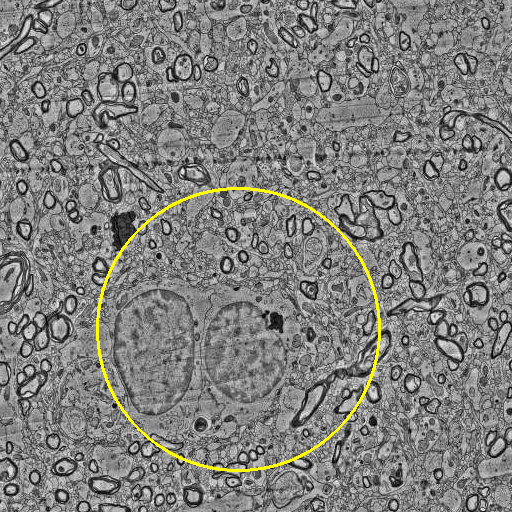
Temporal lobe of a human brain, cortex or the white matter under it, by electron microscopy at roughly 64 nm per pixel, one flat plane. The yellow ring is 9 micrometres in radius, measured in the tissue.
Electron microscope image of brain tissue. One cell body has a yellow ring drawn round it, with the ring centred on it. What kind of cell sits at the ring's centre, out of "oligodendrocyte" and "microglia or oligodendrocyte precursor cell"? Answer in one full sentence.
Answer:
It is an oligodendrocyte whose cell body sits at the centre of the yellow ring.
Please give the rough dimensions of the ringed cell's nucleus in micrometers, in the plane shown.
In this plane the nucleus measures roughly 6 by 5 micrometres.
